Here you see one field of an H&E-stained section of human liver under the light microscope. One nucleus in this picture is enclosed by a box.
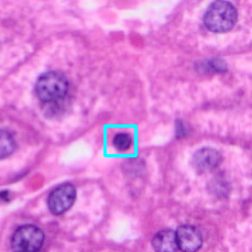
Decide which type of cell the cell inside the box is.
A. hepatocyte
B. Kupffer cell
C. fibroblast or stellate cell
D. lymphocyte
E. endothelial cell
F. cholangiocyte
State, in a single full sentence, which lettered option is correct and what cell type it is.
Option D is correct; the cell inside the box is a lymphocyte.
